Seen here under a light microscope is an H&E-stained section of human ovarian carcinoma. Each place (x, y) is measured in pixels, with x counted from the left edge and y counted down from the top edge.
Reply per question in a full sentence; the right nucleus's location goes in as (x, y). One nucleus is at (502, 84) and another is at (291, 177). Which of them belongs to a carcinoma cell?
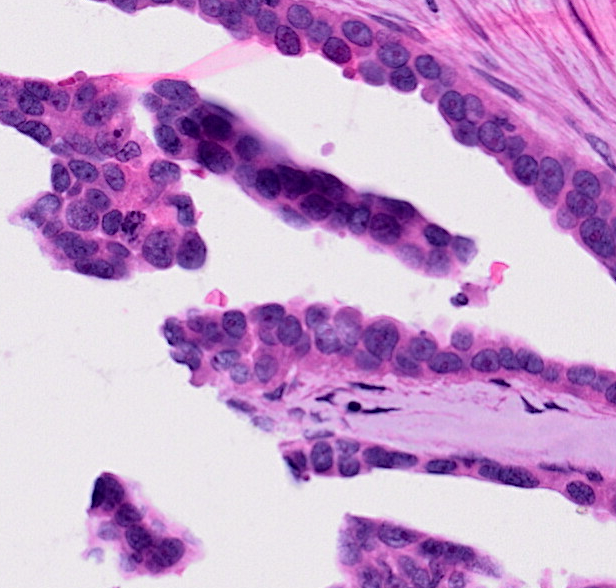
It is the nucleus at (291, 177), not the other one, that belongs to a carcinoma cell.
